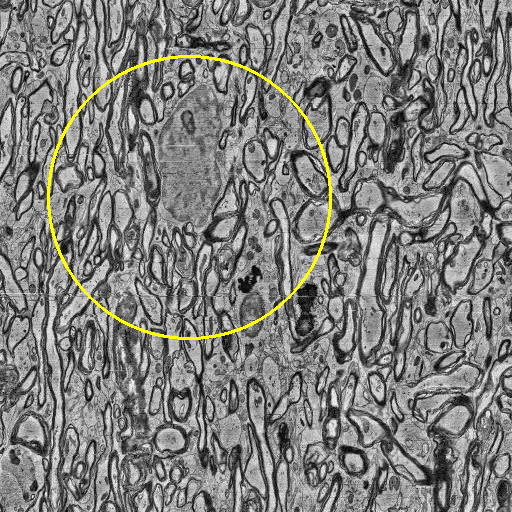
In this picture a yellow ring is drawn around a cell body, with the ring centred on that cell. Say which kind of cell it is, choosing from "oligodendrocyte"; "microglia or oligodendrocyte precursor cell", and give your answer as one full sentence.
Here it is an oligodendrocyte that sits at the centre of the drawn yellow ring.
